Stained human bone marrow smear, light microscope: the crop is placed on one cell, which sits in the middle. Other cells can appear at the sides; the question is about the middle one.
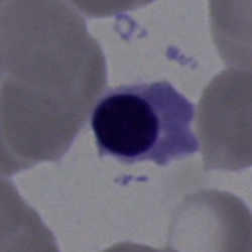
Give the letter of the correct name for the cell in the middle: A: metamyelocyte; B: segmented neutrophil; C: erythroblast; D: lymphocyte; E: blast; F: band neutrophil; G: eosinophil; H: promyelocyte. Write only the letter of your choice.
C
